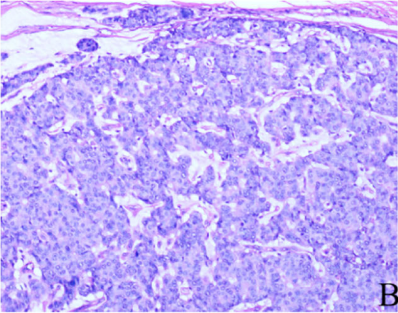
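The cells are of fairly uniform size, with round to oval nuclei and a moderate amount of pale purple cytoplasm. Thin delicate strands of pink stroma with small vessels run through the sheet, and a band of fibrous tissue lies along the top edge.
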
